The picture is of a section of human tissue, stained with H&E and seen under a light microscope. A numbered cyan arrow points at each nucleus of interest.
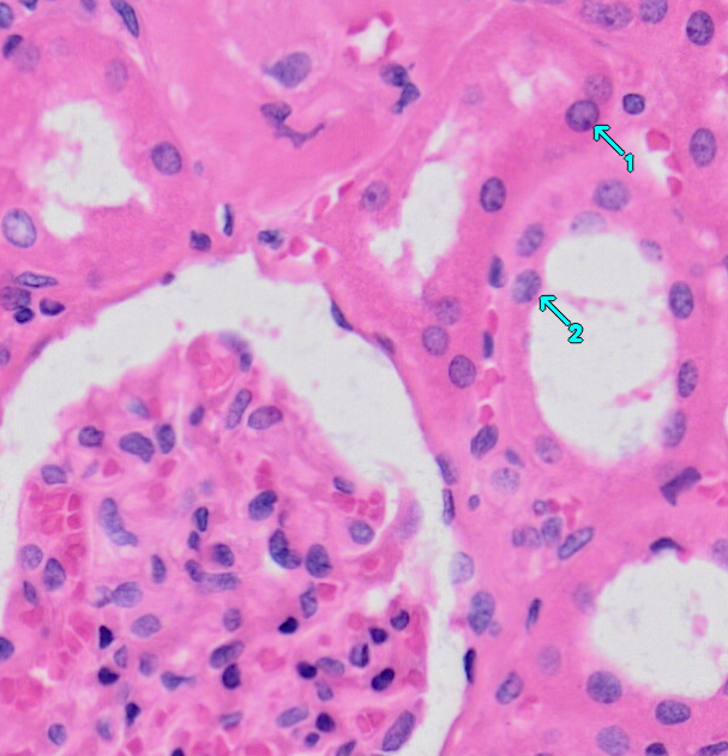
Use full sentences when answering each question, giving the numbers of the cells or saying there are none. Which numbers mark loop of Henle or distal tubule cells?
Cell 2 is a loop of Henle or distal tubule cell, and it is the only one.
